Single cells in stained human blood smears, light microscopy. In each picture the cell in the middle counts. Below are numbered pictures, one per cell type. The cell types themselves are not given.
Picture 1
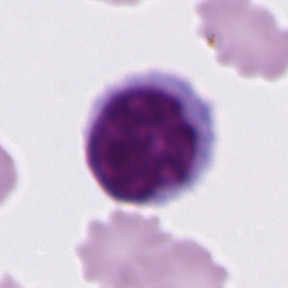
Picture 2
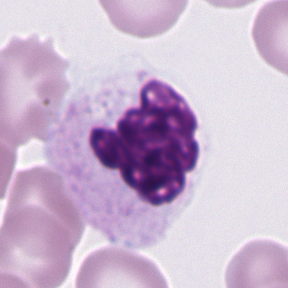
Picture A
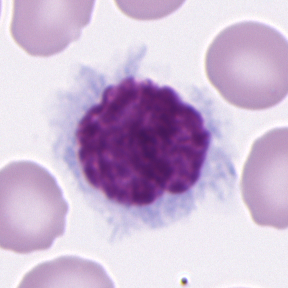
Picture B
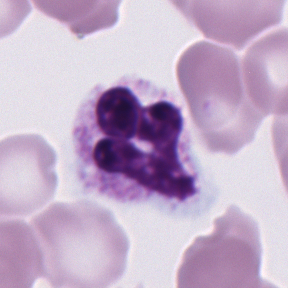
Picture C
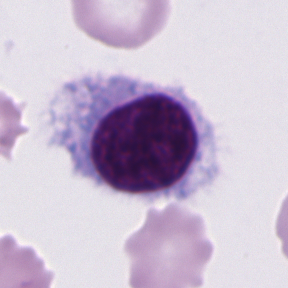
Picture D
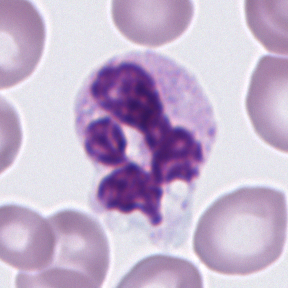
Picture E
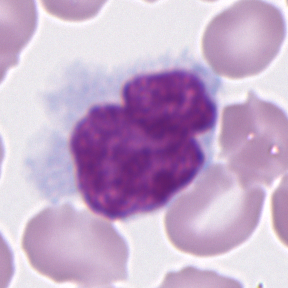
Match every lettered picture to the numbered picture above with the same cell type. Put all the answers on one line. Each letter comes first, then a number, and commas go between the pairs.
A 1, B 2, C 1, D 2, E 1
